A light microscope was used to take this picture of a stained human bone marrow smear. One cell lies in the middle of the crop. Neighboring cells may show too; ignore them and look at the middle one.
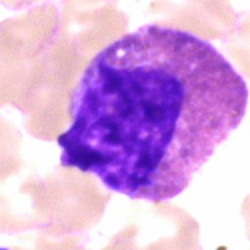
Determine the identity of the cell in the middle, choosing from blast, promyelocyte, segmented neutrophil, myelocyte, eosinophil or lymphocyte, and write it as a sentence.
The cell occupying the middle of the crop is an eosinophil.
